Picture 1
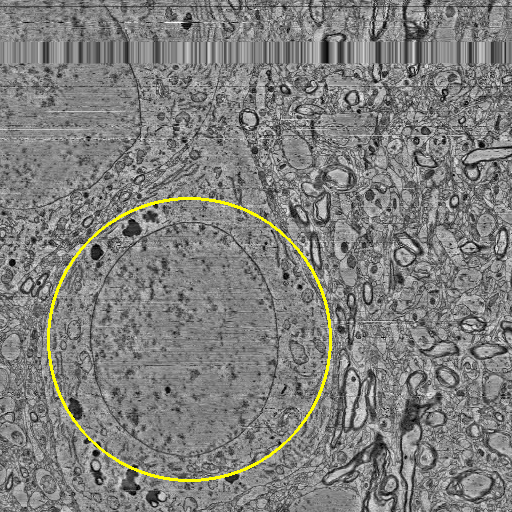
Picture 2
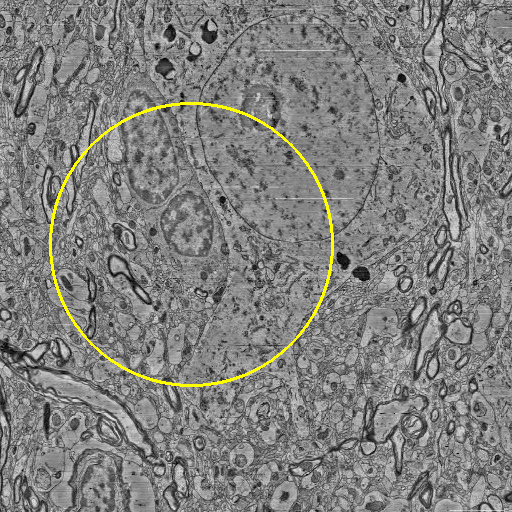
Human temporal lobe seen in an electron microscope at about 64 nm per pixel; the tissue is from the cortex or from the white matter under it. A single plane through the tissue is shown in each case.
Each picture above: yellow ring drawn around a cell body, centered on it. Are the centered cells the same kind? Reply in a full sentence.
No, the two cells are two kinds of cell.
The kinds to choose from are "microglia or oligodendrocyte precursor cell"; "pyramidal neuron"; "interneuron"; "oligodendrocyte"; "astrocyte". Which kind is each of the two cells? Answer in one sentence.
Of the two, the first cell is a pyramidal neuron and the second cell is an oligodendrocyte.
